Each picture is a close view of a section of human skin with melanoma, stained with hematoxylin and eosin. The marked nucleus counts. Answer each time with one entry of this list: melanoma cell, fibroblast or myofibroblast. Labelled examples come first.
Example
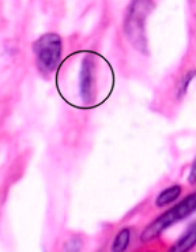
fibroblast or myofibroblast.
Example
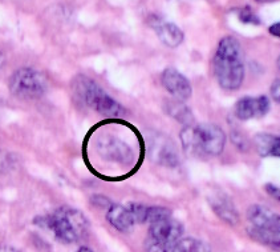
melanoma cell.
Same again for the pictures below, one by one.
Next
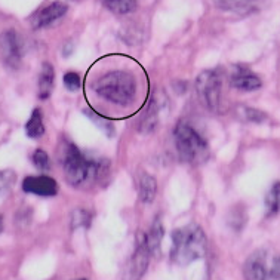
melanoma cell.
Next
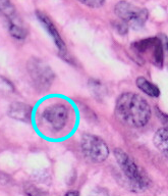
melanoma cell.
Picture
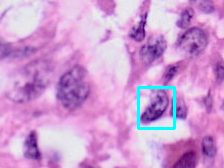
melanoma cell.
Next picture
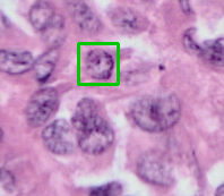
melanoma cell.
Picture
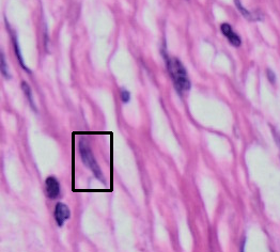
fibroblast or myofibroblast.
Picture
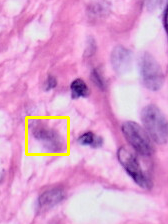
fibroblast or myofibroblast.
